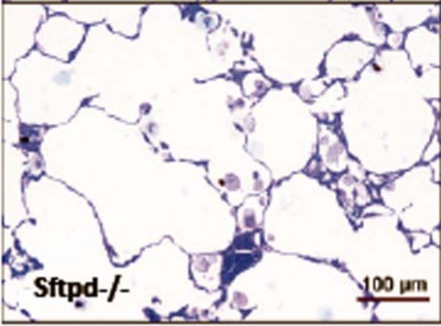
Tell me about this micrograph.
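This lung parenchyma shows enlarged, irregular distal airspaces bounded by thin blue-stained alveolar walls. In places the walls are thickened where cells cluster together. The airspaces are clearly larger and less uniform than in normal lung.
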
